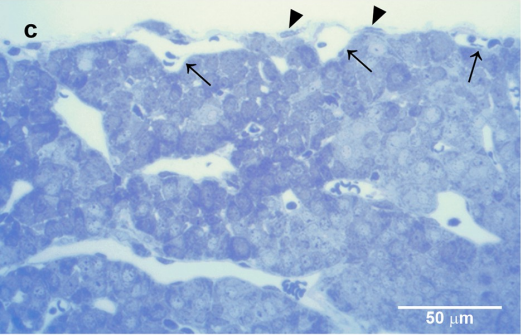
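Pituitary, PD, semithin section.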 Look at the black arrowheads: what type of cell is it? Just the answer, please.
Fibroblast-like cell.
